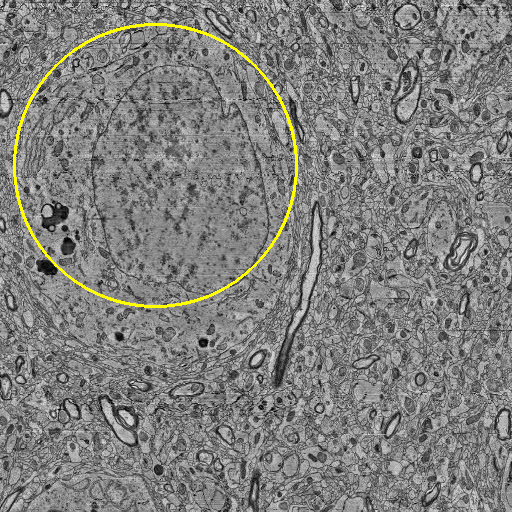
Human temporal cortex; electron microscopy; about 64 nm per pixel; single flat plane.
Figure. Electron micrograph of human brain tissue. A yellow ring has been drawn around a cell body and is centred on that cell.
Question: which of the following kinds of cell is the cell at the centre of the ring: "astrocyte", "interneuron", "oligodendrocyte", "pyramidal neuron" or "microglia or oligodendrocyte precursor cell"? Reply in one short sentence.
The cell at the centre of the ring is a pyramidal neuron.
